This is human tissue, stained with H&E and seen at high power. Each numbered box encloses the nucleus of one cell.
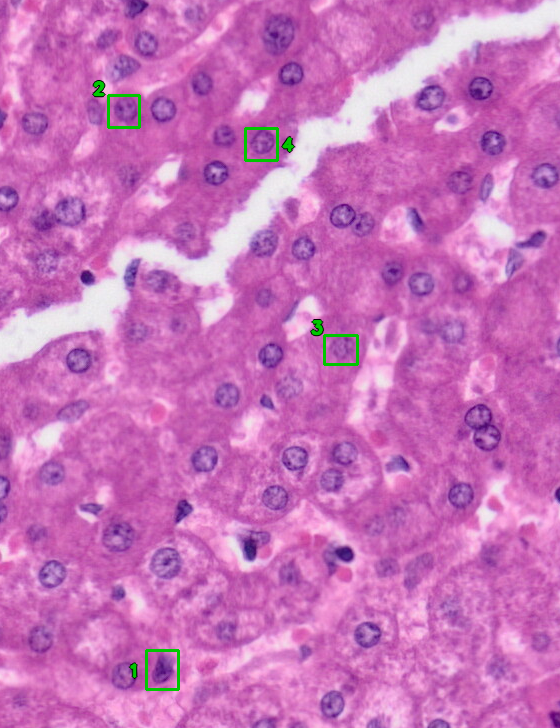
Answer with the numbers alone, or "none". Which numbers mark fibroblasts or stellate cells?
1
